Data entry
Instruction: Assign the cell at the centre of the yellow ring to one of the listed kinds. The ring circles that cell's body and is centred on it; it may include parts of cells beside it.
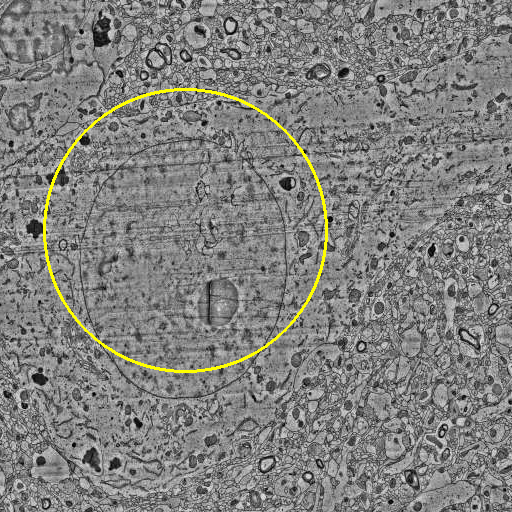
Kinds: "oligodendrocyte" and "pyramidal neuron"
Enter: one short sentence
The centre of the ring falls on a pyramidal neuron.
